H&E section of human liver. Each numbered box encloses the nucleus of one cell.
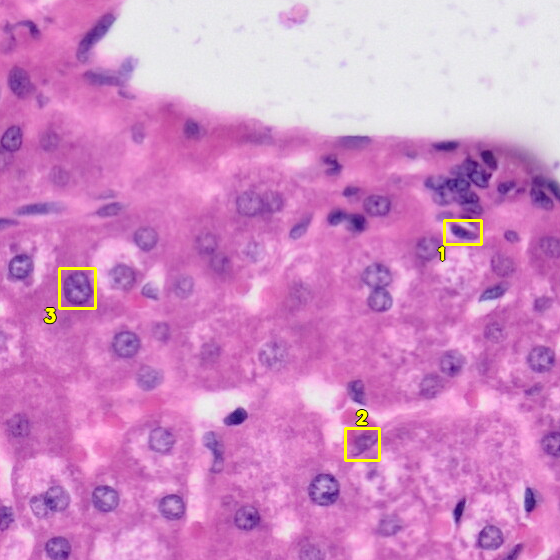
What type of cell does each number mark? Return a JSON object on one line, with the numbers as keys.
{"1": "fibroblast or stellate cell", "2": "Kupffer cell", "3": "hepatocyte"}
